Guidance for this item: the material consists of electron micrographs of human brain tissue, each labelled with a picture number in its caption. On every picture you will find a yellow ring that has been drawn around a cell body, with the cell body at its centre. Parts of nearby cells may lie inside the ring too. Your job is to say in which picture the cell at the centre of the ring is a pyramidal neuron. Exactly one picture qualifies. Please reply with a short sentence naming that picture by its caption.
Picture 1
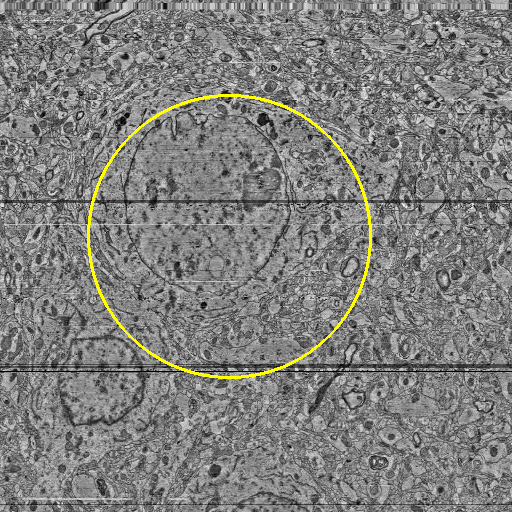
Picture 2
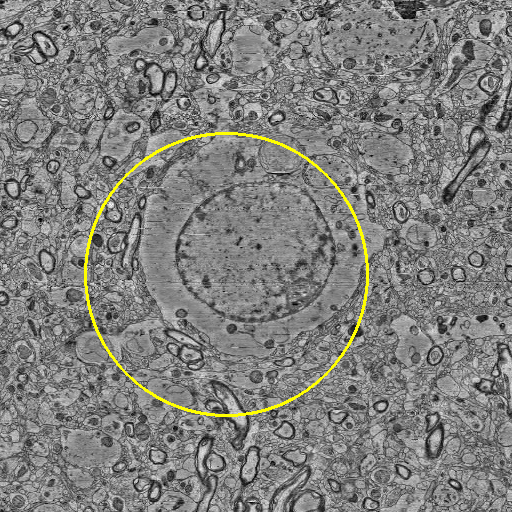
Picture 1 shows it at the centre of the ring.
